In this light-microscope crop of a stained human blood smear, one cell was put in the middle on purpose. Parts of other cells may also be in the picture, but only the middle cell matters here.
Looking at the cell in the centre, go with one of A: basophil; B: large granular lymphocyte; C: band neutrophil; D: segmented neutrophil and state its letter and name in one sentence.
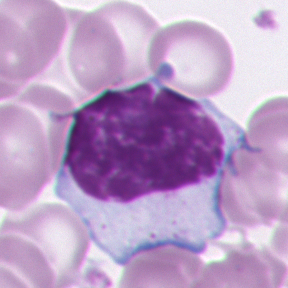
Option B is right, the centrally situated cell being a large granular lymphocyte.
